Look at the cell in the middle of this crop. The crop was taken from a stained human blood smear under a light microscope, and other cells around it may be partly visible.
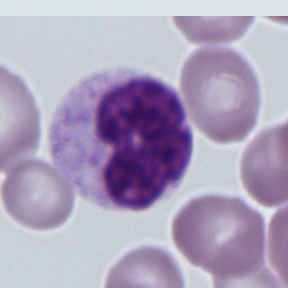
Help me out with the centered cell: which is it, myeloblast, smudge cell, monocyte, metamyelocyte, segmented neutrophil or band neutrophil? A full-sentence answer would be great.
The centrally located cell in the crop is a segmented neutrophil.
